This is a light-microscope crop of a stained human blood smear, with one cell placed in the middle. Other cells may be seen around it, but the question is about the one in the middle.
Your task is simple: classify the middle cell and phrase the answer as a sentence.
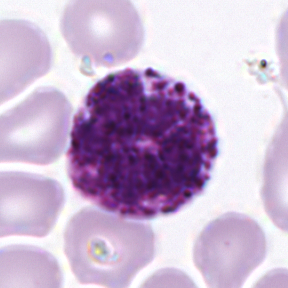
Seen at the centre of the crop is a basophil.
